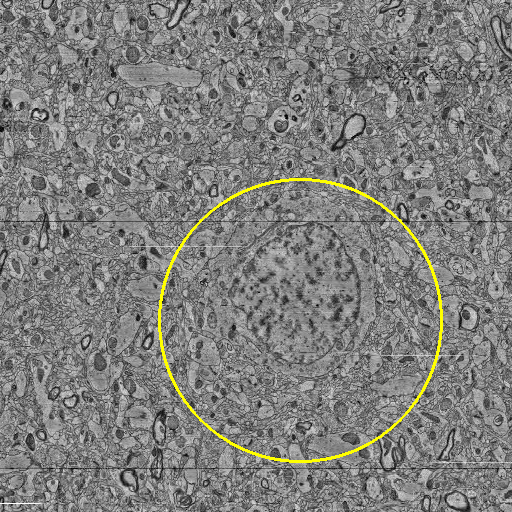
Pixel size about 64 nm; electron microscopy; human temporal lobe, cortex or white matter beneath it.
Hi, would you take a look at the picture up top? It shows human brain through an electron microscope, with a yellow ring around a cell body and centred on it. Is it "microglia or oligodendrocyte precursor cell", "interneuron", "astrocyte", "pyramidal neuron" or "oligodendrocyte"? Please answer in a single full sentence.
The best fit for the cell in the middle of the ring is an interneuron, I reckon.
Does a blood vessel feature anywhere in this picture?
No, no blood vessel shows in the picture.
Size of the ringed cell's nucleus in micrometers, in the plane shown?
The nucleus measures about 10 by 8 micrometres in this plane.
